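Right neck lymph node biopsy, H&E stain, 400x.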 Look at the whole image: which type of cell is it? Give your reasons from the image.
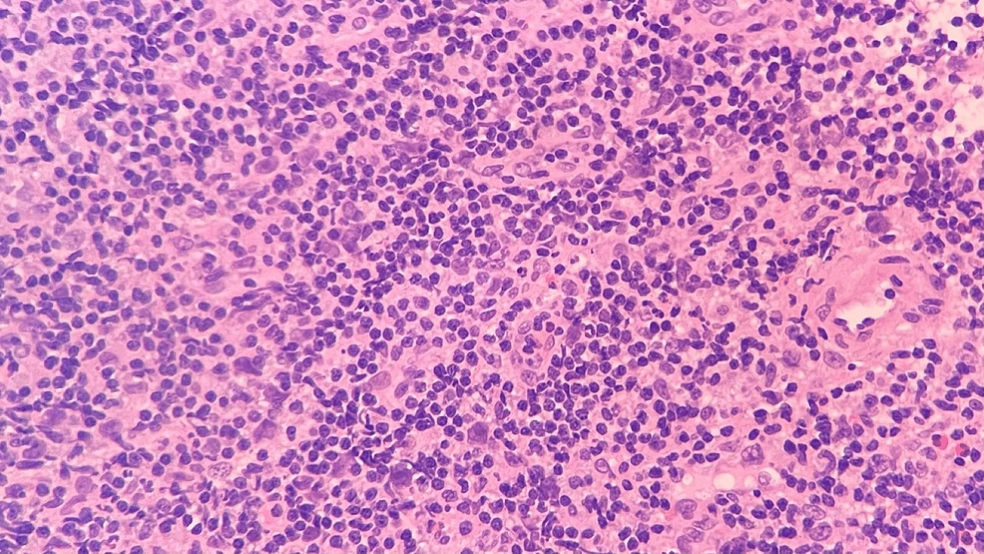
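Most cells are small and round with dense, dark purple nuclei. These small cells have very little cytoplasm. They lie packed in sheets across the whole field.
Answer: small lymphocyte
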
